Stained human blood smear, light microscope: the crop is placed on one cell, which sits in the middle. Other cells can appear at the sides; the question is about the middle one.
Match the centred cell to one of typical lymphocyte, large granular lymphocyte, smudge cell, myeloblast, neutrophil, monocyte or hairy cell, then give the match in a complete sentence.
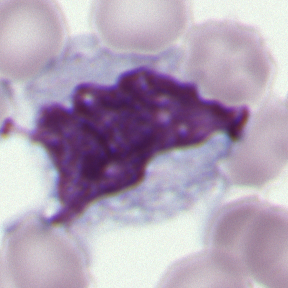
The cell at the centre of the field is a monocyte.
